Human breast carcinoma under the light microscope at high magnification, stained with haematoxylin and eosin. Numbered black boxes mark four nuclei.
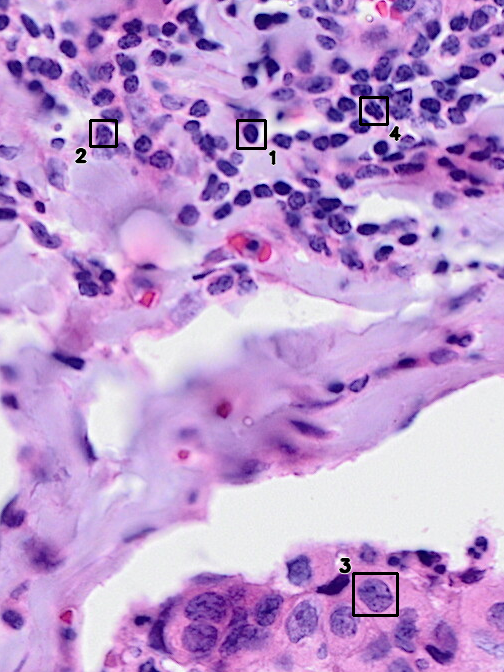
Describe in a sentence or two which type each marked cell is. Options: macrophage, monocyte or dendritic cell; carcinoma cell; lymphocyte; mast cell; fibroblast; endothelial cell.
Cell 1 is a lymphocyte, cell 2 is a lymphocyte, cell 3 is a carcinoma cell and cell 4 is a lymphocyte.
